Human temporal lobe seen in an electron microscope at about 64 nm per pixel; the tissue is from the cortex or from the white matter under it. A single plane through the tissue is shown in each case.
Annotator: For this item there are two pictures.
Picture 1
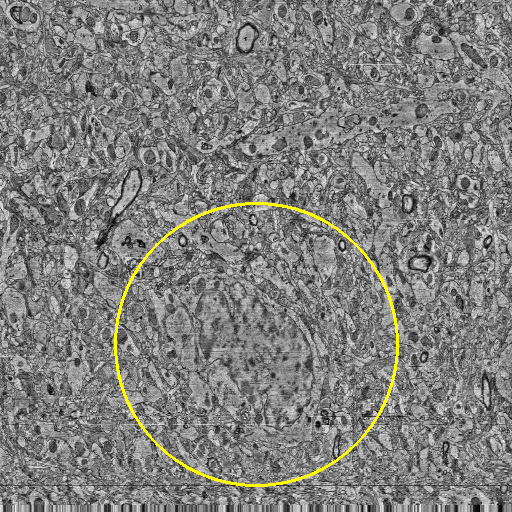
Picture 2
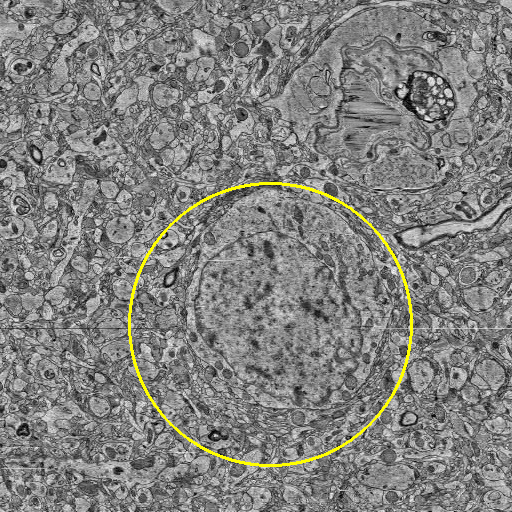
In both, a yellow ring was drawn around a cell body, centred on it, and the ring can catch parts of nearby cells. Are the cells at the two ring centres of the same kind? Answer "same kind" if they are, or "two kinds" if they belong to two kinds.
same kind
